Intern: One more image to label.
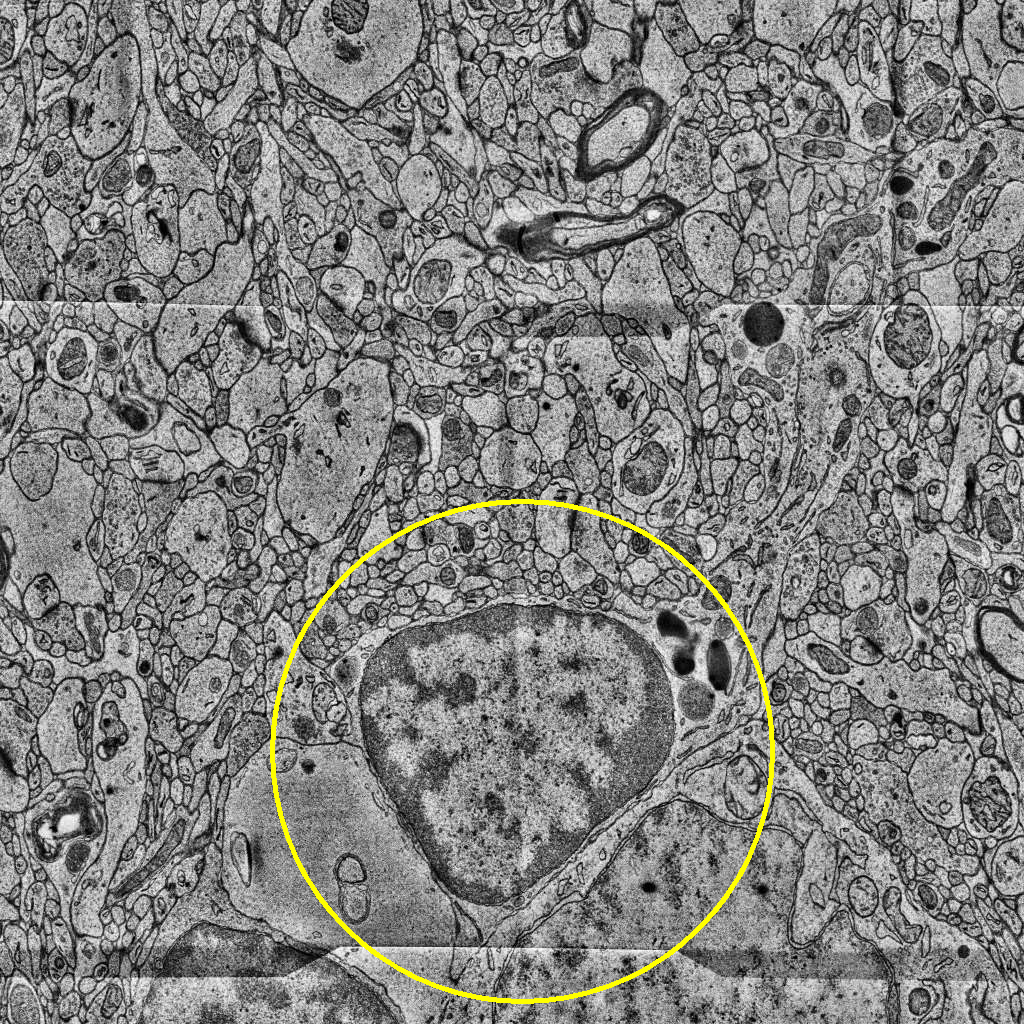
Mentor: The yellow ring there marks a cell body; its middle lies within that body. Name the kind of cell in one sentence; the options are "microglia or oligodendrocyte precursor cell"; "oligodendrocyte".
The ring marks the cell body of a microglial cell or oligodendrocyte precursor cell.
